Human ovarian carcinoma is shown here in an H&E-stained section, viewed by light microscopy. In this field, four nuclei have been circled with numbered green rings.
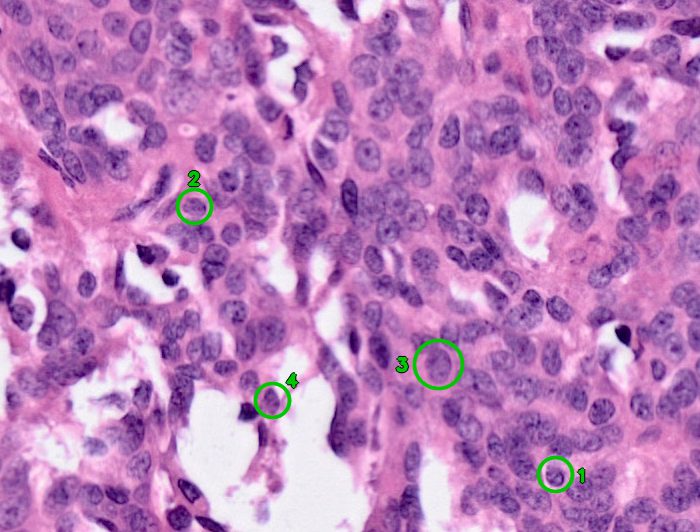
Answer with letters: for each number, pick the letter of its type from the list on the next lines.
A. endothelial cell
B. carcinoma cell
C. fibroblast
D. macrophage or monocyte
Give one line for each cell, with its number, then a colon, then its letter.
1: D
2: D
3: B
4: D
